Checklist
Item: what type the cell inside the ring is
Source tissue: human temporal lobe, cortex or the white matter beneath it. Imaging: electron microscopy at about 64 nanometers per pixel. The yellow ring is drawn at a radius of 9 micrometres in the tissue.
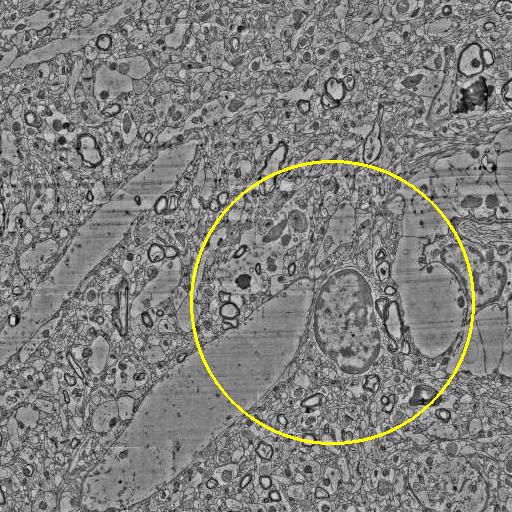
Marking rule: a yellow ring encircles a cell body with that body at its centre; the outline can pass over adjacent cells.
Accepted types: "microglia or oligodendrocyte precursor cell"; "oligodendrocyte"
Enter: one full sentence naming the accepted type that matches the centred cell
The entry is that a microglial cell or oligodendrocyte precursor cell lies at the centre of the yellow ring.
